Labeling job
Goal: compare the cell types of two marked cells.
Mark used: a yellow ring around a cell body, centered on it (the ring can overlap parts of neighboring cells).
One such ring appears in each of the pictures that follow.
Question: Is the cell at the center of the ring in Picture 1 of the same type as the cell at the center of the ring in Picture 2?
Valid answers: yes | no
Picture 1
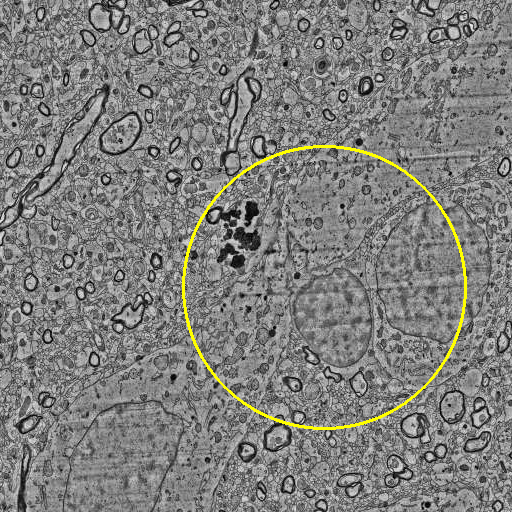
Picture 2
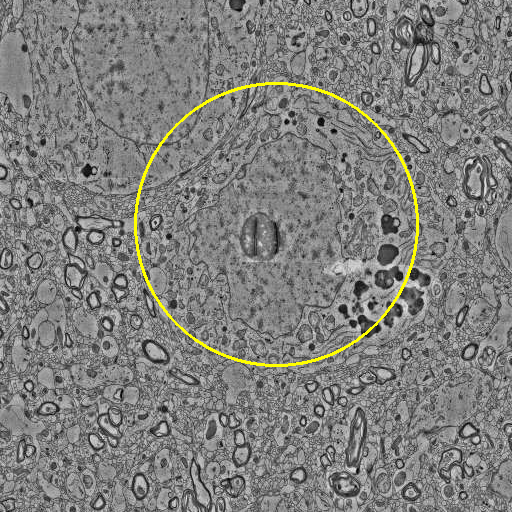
no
